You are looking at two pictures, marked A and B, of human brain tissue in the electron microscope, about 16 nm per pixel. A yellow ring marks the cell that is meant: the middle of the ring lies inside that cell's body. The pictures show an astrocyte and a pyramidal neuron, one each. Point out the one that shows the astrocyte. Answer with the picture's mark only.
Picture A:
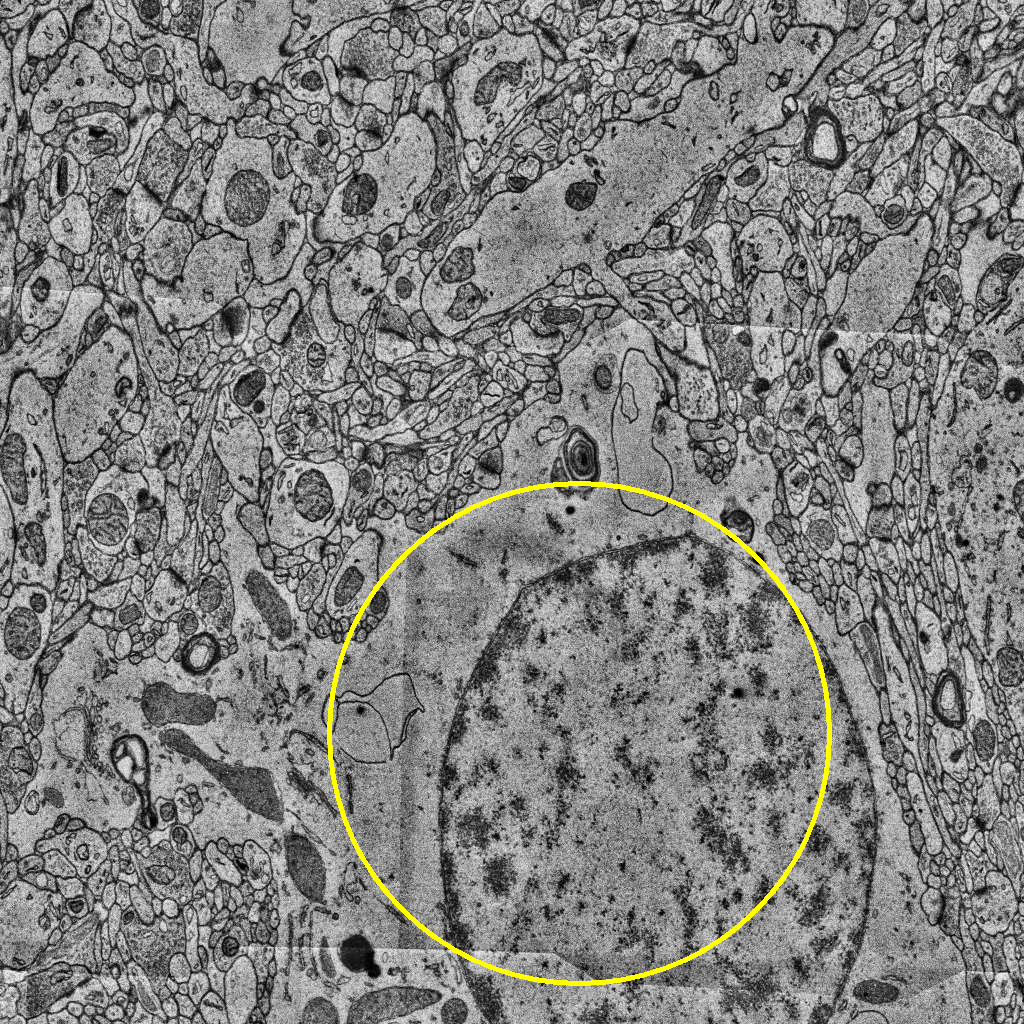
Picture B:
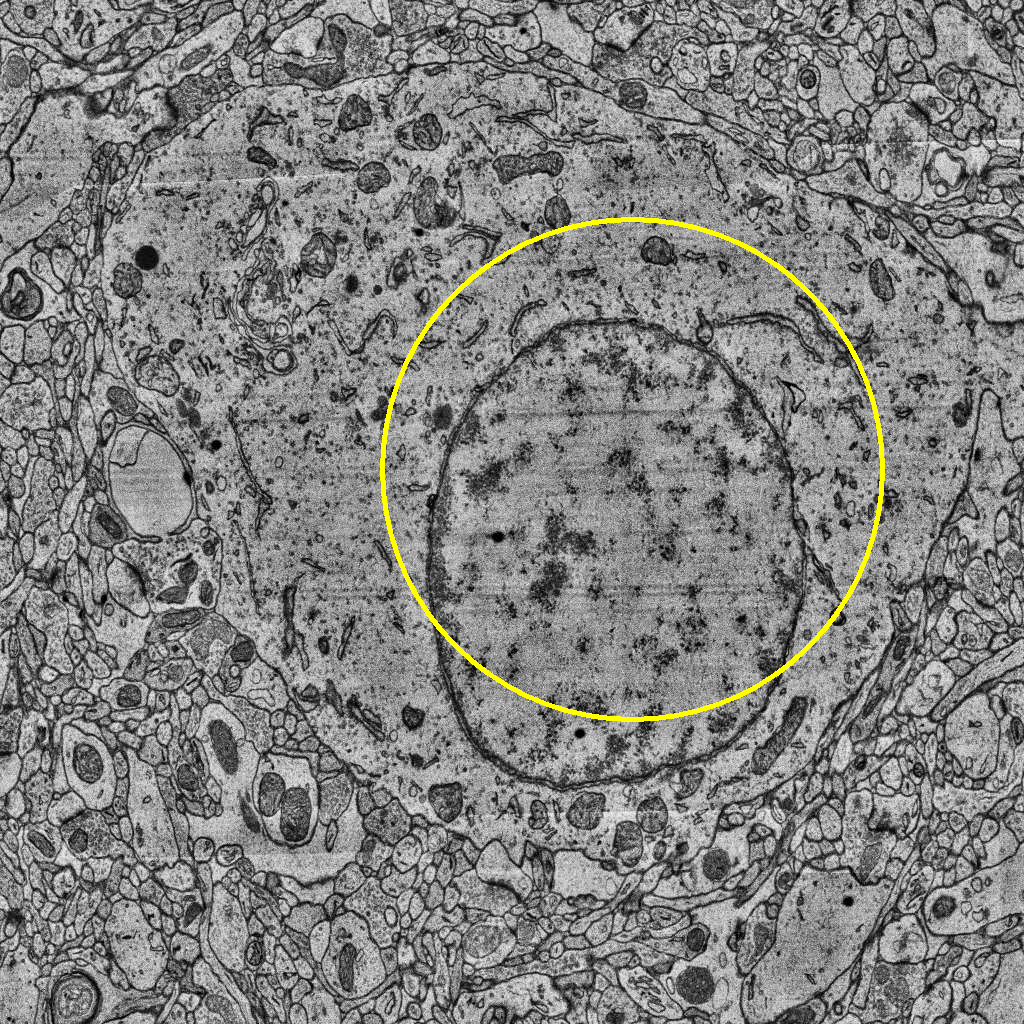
A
